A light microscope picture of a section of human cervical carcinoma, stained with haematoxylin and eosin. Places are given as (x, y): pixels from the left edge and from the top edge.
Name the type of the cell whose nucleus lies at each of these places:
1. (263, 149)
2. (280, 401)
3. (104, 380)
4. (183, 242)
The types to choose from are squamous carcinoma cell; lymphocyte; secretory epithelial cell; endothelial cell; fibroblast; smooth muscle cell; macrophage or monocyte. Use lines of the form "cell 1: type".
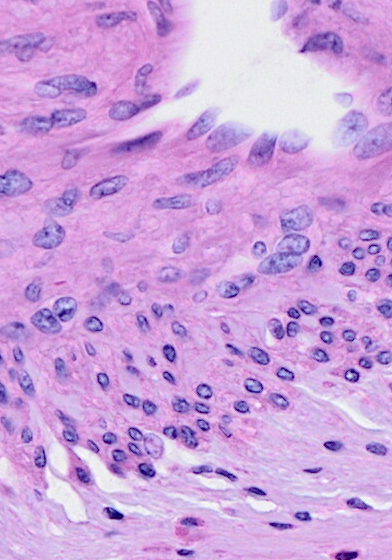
cell 1: endothelial cell
cell 2: smooth muscle cell
cell 3: smooth muscle cell
cell 4: smooth muscle cell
